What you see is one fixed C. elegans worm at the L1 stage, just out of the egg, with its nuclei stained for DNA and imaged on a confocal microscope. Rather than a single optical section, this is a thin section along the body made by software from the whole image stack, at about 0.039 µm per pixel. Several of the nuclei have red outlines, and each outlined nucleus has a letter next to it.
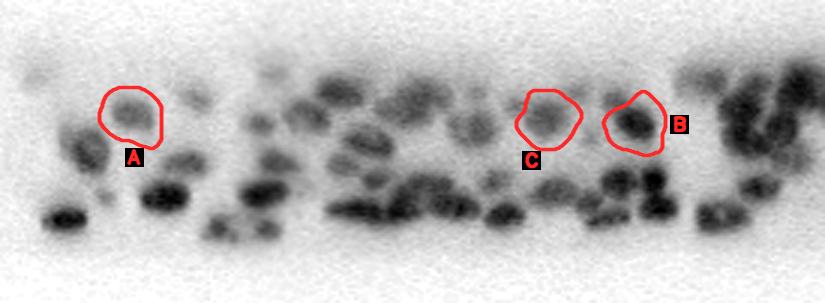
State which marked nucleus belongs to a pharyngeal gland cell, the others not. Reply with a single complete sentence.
Nucleus A belongs to a pharyngeal gland cell.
